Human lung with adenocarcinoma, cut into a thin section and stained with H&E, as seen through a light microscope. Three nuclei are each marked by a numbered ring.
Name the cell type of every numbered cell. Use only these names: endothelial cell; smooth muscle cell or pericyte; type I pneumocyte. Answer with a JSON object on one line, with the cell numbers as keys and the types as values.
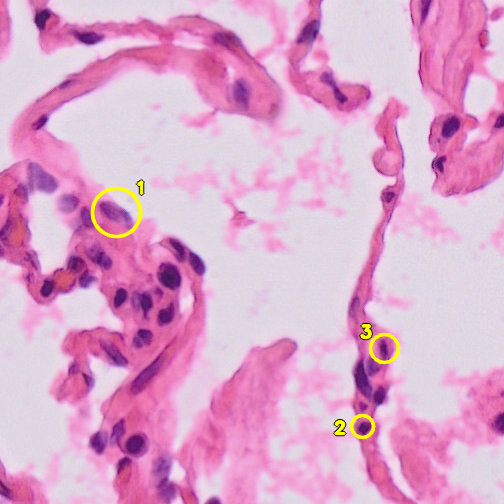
{"1": "type I pneumocyte", "2": "endothelial cell", "3": "endothelial cell"}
